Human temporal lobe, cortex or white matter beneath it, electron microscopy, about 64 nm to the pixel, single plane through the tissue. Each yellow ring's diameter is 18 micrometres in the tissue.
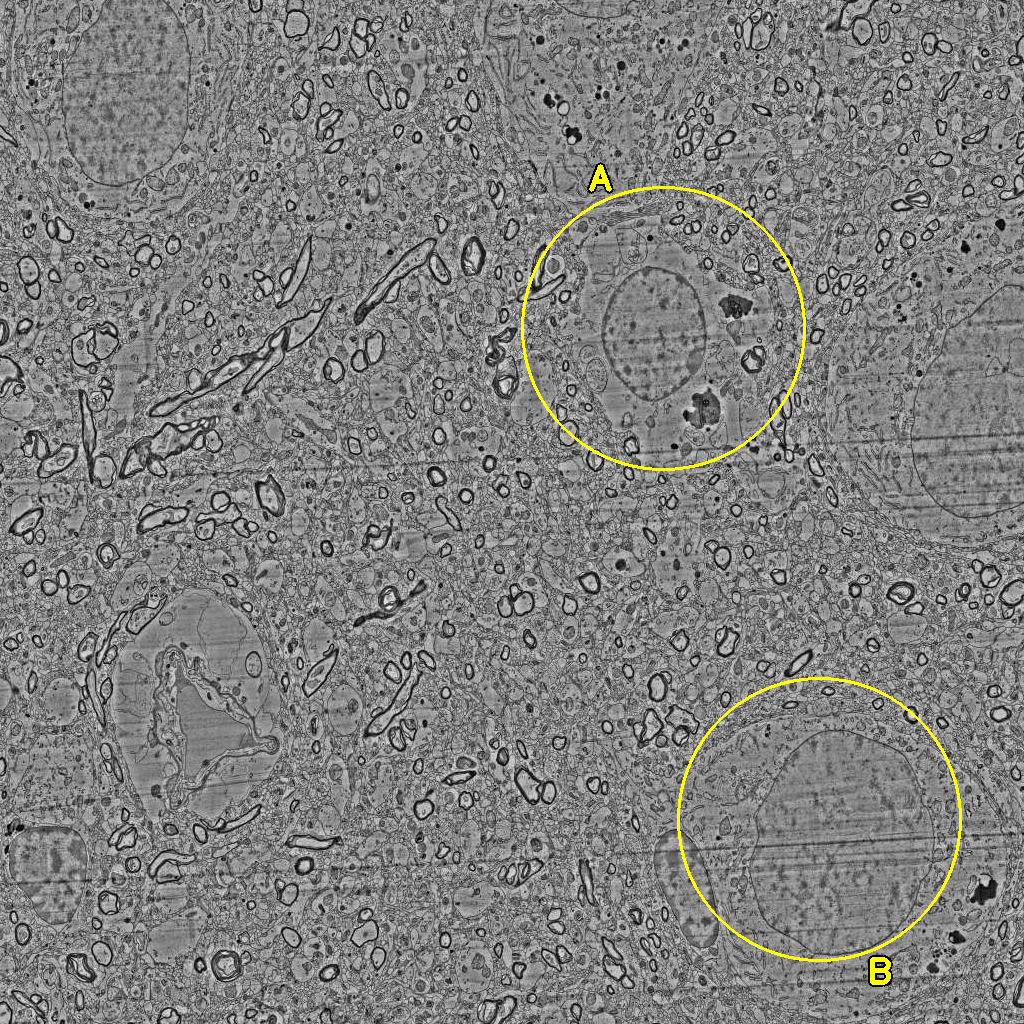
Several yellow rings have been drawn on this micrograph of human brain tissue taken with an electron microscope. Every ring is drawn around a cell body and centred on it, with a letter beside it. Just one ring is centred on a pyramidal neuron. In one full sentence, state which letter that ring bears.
At the centre of ring B is a cell of that kind.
